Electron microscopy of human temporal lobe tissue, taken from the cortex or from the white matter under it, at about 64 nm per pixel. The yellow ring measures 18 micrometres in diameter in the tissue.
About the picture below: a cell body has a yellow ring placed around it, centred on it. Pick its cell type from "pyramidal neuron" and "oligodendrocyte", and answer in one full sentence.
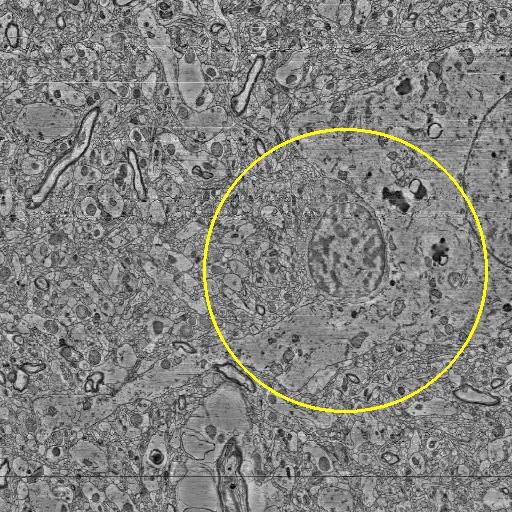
In the picture, an oligodendrocyte is the cell sitting at the centre of the yellow ring.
